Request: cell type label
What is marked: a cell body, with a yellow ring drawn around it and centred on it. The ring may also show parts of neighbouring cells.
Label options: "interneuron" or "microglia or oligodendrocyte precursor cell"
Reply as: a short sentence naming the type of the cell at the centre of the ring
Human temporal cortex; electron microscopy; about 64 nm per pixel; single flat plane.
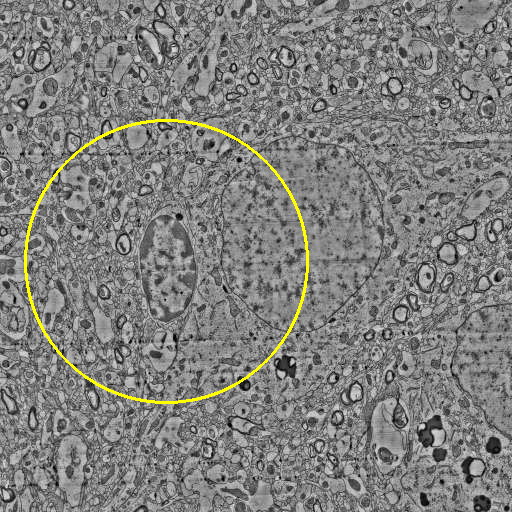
The marked cell body is that of a microglial cell or oligodendrocyte precursor cell.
